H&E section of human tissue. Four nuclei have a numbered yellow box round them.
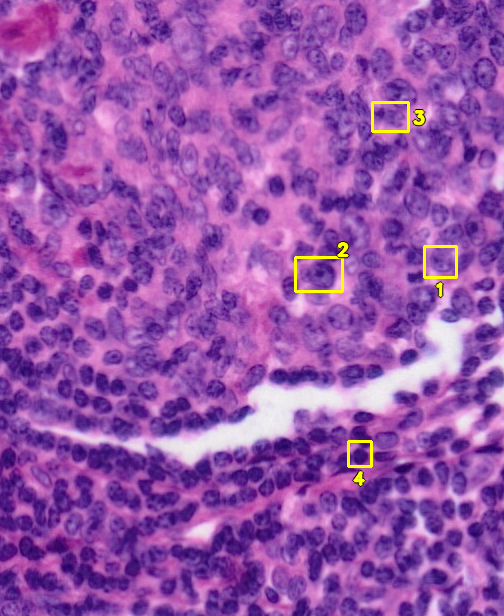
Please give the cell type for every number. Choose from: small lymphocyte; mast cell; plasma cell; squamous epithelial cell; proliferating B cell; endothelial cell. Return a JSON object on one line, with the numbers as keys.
{"1": "proliferating B cell", "2": "proliferating B cell", "3": "proliferating B cell", "4": "small lymphocyte"}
